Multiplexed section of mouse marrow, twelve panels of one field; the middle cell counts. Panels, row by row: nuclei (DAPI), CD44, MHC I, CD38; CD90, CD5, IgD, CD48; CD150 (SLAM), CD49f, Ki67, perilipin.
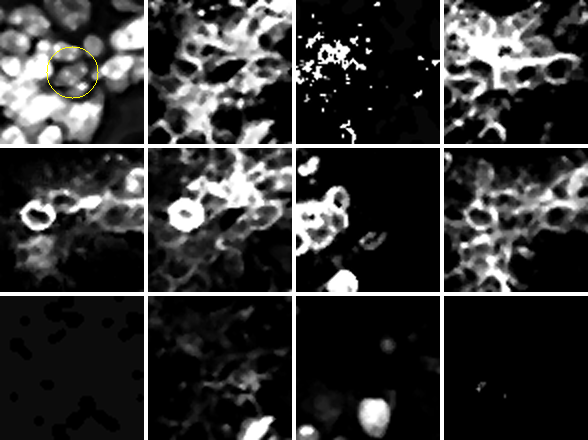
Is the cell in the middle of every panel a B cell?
No, it is a capillary endothelial cell.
